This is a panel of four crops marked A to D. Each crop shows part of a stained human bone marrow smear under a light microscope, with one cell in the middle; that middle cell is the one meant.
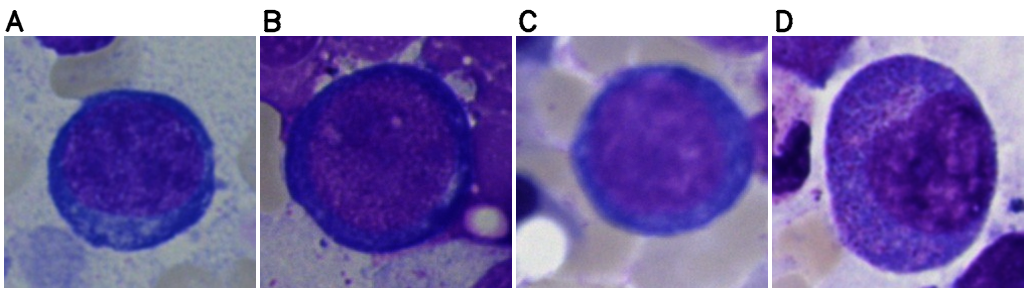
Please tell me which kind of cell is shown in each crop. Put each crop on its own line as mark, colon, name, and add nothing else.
A: proerythroblast
B: proerythroblast
C: proerythroblast
D: promyelocyte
